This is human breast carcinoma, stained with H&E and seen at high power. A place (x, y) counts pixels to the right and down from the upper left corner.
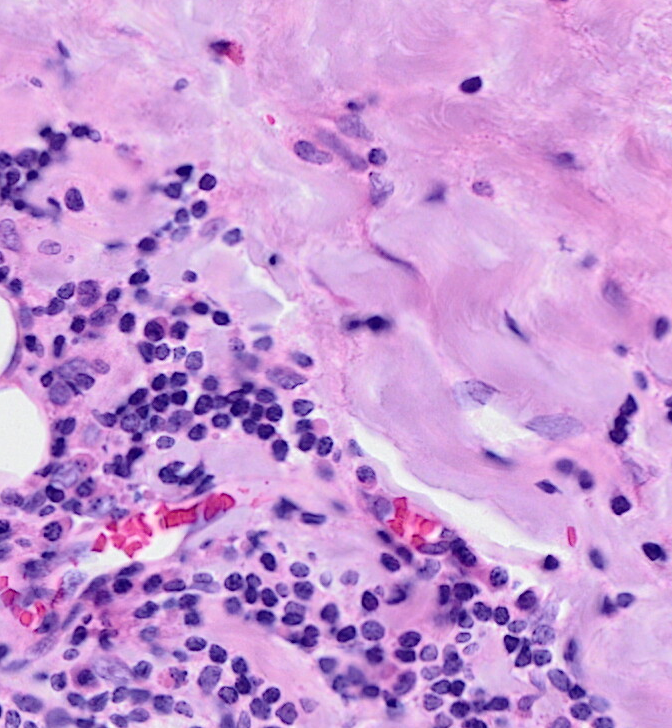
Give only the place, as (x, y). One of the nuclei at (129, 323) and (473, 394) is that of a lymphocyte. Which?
(129, 323)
